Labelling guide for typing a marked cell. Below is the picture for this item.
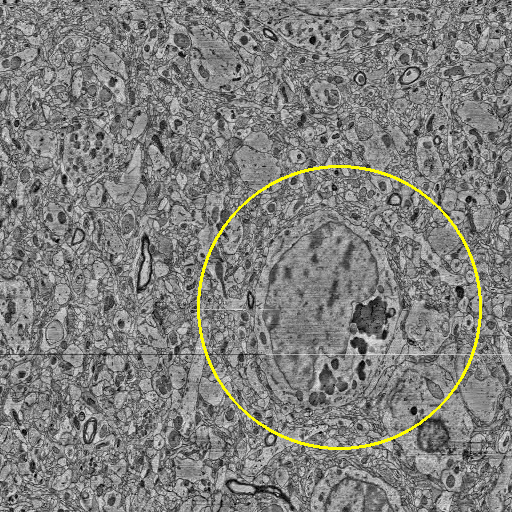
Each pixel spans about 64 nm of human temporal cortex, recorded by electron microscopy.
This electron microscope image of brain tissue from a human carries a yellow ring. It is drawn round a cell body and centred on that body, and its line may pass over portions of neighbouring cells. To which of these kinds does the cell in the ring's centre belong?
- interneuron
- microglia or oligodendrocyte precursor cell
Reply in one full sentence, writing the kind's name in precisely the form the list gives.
Here we have an interneuron at the centre of the yellow ring in the picture.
